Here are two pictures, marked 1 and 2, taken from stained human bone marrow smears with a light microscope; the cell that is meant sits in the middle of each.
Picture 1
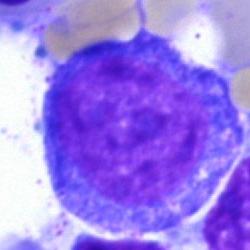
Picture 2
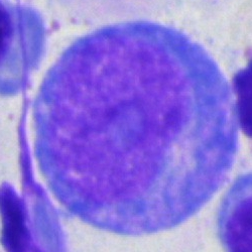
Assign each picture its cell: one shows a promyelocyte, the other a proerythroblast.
1: proerythroblast
2: promyelocyte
